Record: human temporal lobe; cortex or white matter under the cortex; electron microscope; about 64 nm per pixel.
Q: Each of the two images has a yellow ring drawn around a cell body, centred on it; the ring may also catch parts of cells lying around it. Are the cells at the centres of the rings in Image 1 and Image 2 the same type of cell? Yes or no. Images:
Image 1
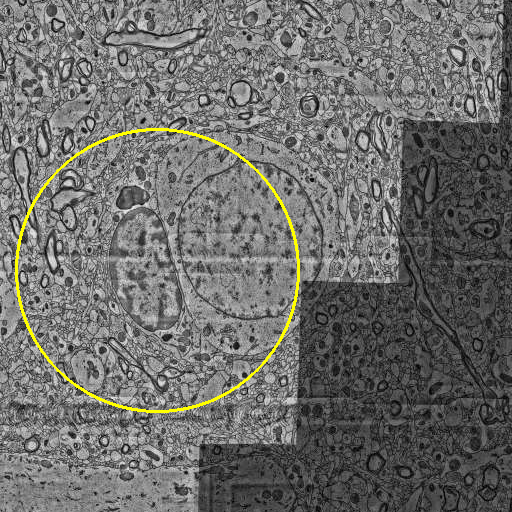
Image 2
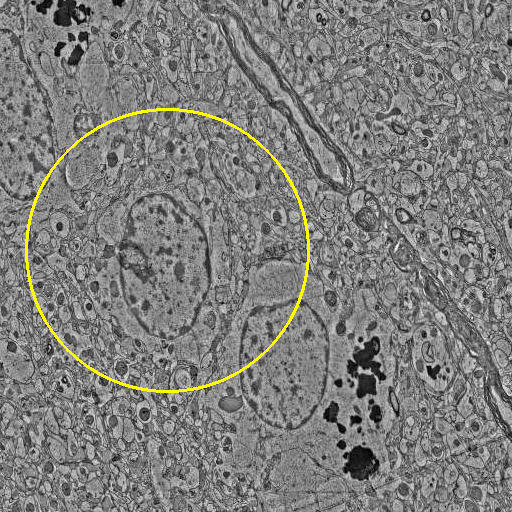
no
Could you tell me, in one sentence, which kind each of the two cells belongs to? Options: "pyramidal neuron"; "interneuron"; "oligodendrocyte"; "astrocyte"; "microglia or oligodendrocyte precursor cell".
At the centre of the first ring sits a microglial cell or oligodendrocyte precursor cell, and at the centre of the second sits an astrocyte.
